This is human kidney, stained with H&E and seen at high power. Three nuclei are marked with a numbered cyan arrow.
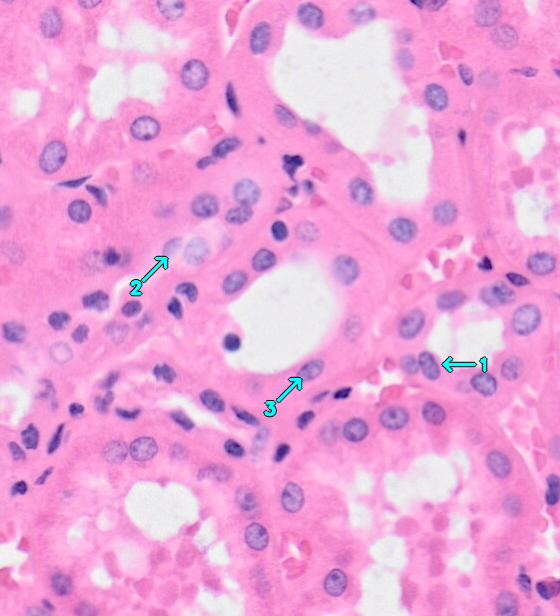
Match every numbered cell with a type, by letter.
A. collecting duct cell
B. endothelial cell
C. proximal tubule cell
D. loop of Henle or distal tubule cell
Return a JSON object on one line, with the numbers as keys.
{"1": "A", "2": "A", "3": "D"}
